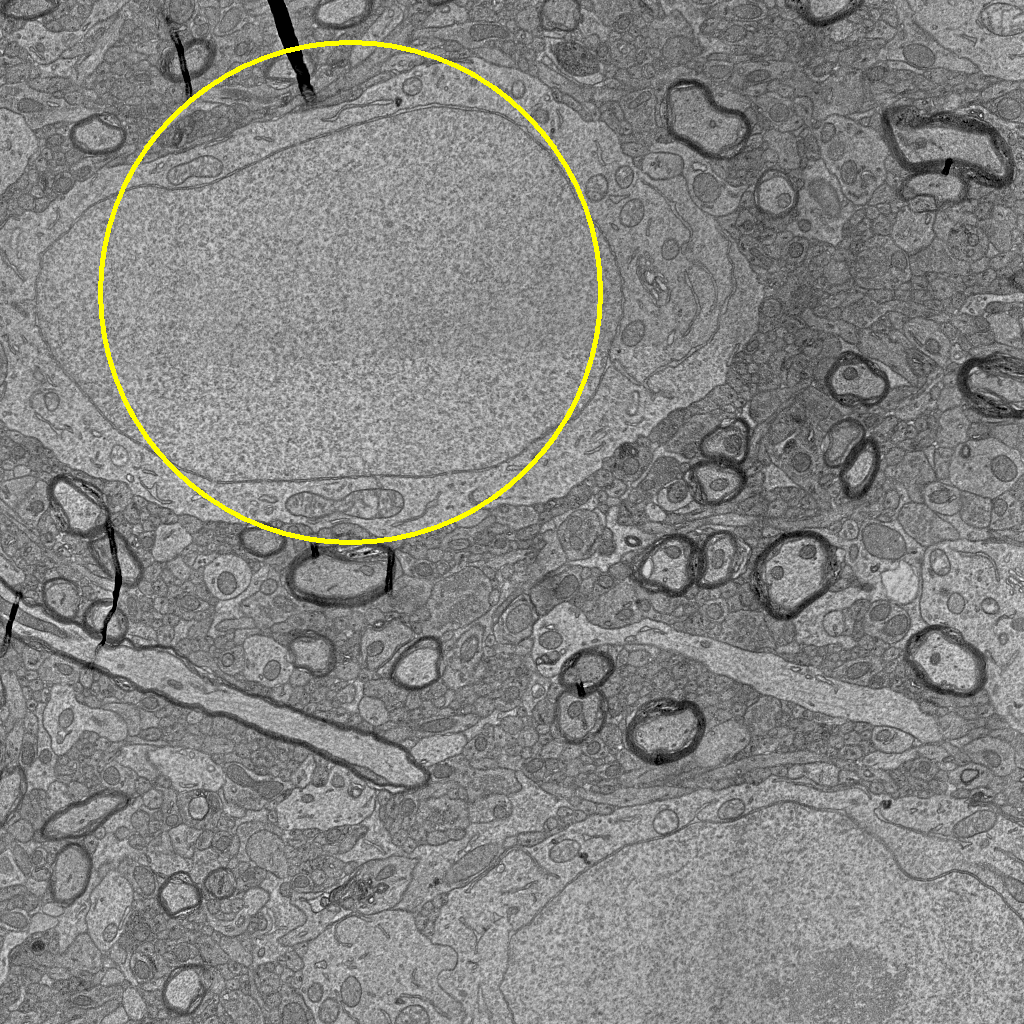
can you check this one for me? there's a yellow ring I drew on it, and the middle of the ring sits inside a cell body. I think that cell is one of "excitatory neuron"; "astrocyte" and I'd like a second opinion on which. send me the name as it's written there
excitatory neuron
